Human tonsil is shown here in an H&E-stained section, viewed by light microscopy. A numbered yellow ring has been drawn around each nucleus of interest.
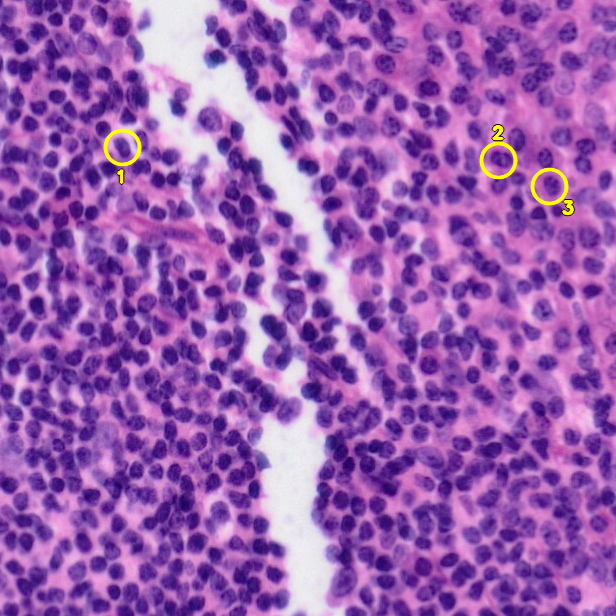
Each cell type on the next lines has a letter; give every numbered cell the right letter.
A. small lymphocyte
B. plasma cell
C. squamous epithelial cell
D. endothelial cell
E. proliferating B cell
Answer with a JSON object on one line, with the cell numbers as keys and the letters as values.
{"1": "A", "2": "B", "3": "B"}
